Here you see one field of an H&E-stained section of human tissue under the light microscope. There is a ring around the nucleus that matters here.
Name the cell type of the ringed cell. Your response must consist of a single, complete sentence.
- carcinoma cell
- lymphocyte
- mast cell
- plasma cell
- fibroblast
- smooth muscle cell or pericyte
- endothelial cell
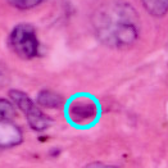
In this tissue sample, the ringed cell is a plasma cell.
